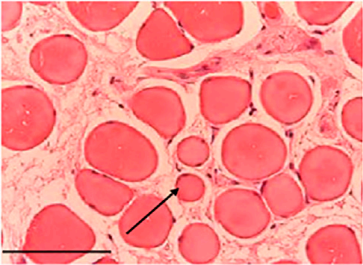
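This is a transverse section of skeletal muscle with deep pink, rounded to oval muscle fibres of widely varying size. A few very small rounded fibres lie among much larger ones. The fibres are not closely packed but are separated by abundant pale pink fibrous interstitial tissue. Scattered small dark nuclei lie in this interstitial tissue.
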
